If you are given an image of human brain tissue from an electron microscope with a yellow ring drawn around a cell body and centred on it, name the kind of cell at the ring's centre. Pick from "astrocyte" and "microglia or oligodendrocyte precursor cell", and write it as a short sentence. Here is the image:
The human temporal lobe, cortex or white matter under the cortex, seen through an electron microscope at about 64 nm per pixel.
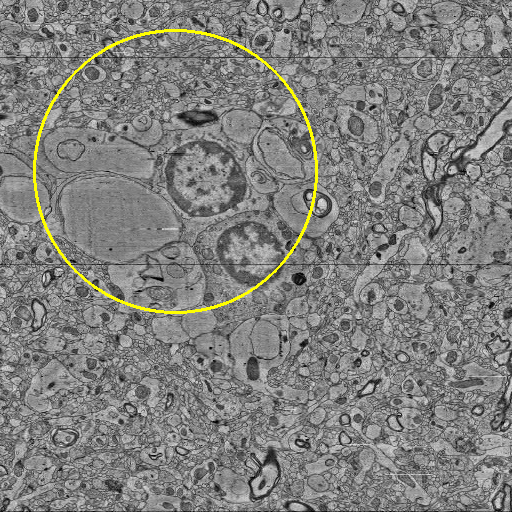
The cell at the ring's centre is a microglial cell or oligodendrocyte precursor cell.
